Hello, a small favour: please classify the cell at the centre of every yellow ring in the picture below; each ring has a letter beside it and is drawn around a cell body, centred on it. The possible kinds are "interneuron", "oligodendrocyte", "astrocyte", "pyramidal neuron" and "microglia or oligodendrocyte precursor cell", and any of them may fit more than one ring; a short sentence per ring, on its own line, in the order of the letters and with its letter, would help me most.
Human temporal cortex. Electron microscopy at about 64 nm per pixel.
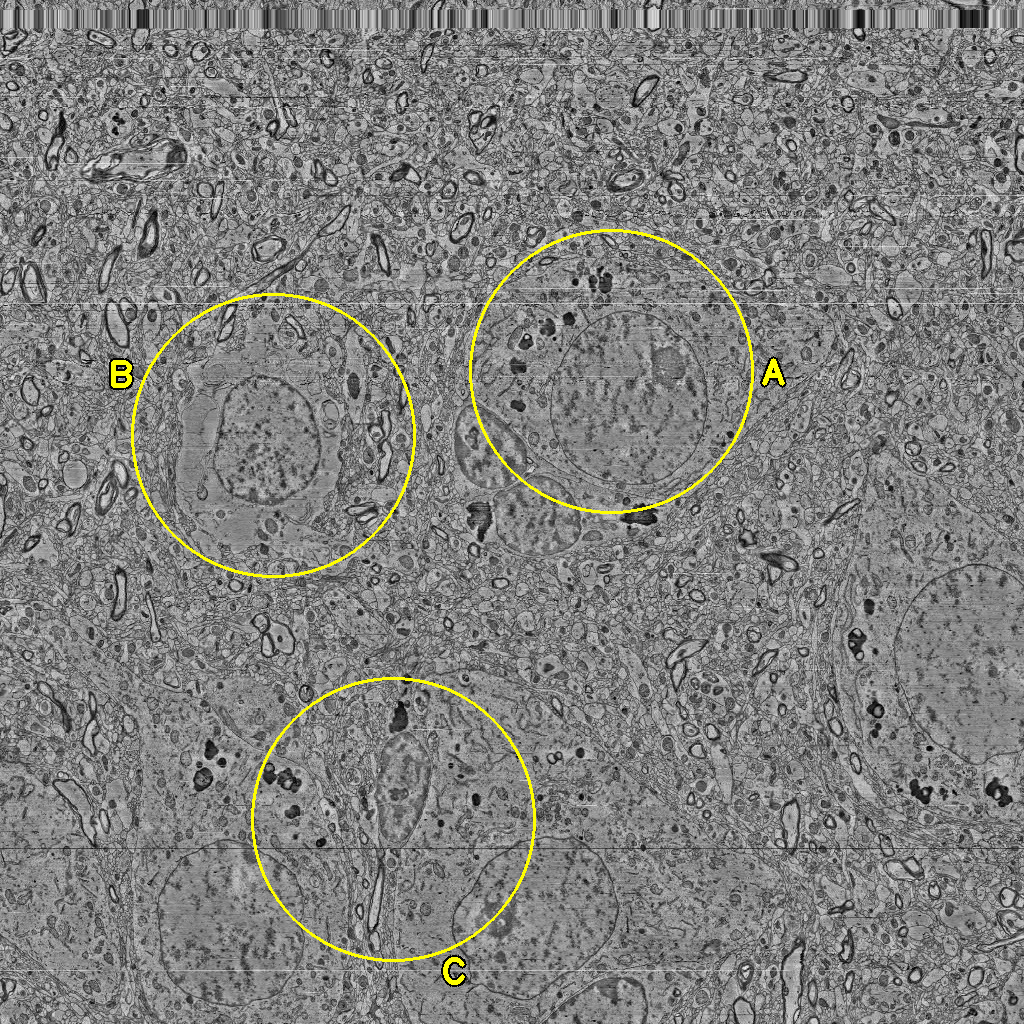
The centre of ring A falls on a pyramidal neuron.
The centre of ring B falls on an astrocyte.
The centre of ring C falls on an oligodendrocyte.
